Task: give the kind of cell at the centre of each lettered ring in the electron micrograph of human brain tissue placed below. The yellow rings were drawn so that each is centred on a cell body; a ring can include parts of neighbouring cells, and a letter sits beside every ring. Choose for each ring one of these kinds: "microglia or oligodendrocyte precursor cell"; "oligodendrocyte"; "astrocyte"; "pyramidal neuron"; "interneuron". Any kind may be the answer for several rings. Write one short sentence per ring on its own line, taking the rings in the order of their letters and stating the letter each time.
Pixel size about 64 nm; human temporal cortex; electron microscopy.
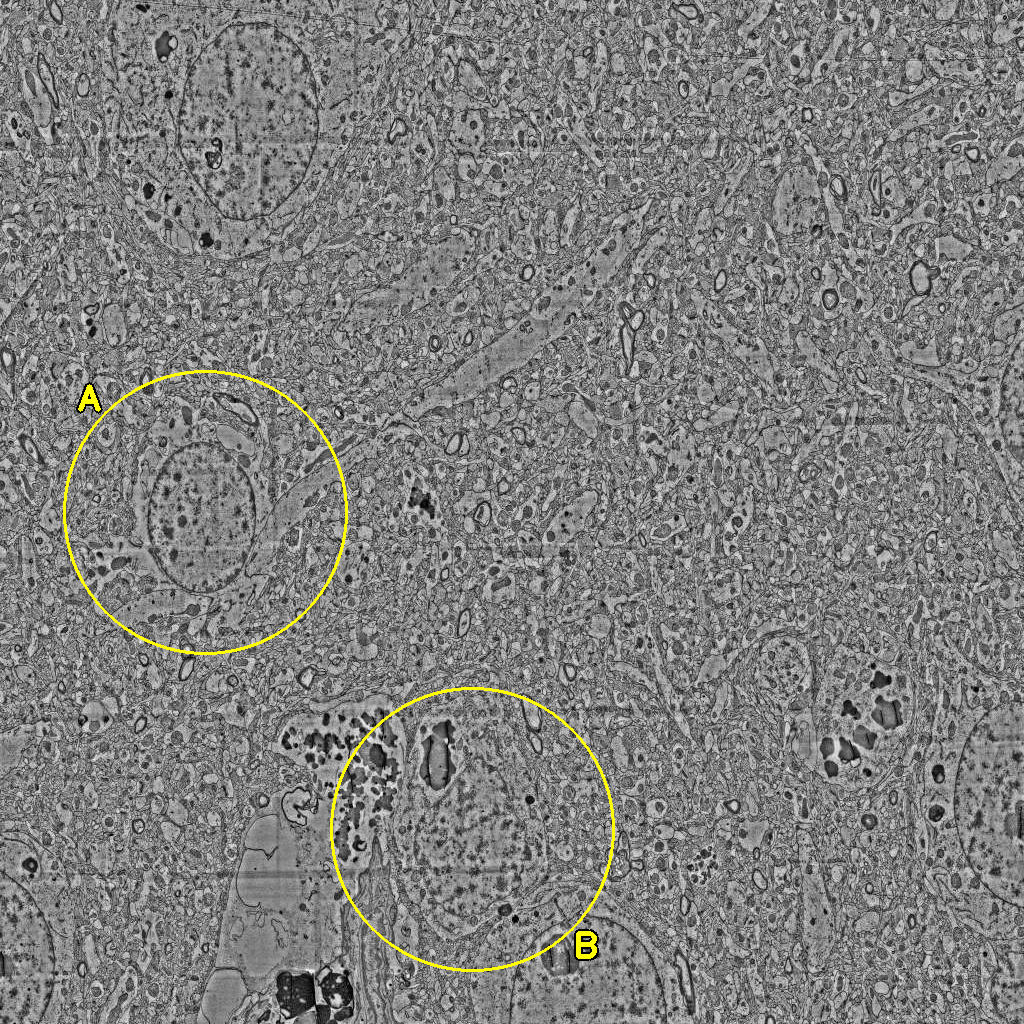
The yellow ring marked A surrounds an astrocyte.
The yellow ring marked B surrounds an interneuron.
